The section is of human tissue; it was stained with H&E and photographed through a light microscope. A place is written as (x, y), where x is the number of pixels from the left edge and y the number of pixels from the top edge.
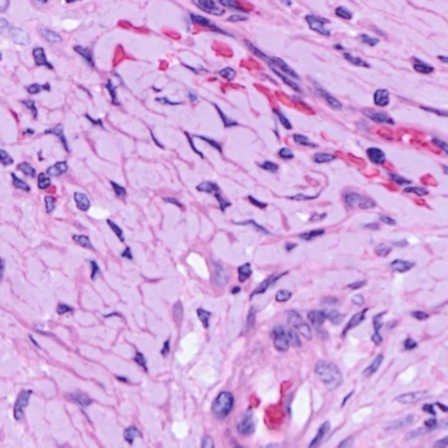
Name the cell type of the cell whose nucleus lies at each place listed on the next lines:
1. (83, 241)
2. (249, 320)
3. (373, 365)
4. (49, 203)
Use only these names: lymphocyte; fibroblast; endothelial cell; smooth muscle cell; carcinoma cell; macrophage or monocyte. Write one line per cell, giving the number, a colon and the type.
1: fibroblast
2: fibroblast
3: fibroblast
4: endothelial cell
